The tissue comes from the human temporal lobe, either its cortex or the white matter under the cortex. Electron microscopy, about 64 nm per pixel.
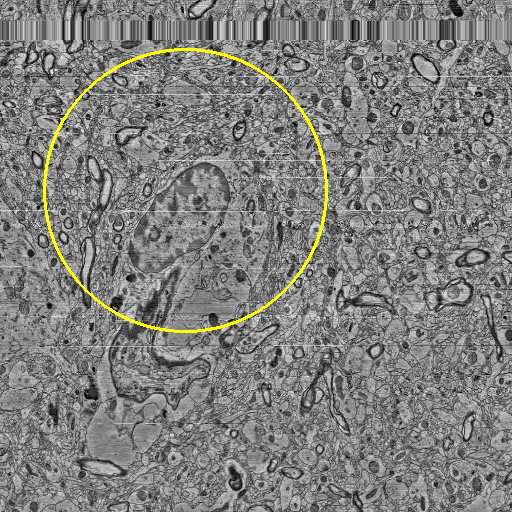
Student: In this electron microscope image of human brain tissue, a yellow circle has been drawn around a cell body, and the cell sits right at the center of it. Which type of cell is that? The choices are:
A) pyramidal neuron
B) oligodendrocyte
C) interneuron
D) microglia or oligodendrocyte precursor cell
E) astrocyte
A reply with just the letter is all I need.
D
